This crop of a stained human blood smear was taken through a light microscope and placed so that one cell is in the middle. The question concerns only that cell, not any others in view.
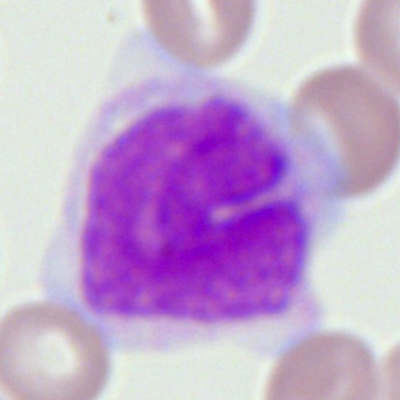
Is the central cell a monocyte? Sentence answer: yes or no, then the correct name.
Yes, the cell shown centrally is a monocyte.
